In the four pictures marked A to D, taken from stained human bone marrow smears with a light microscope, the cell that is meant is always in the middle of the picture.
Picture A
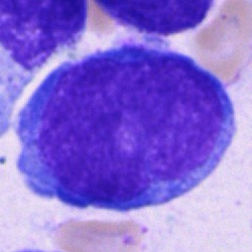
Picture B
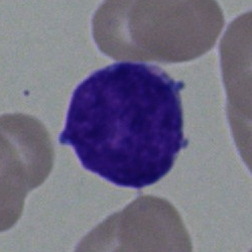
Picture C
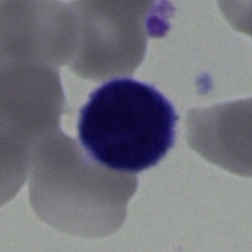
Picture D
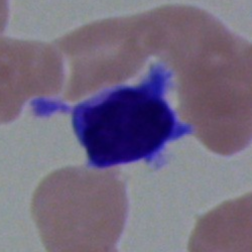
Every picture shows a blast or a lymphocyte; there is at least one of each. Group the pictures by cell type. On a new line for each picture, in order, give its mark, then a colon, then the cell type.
A: blast
B: blast
C: lymphocyte
D: lymphocyte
